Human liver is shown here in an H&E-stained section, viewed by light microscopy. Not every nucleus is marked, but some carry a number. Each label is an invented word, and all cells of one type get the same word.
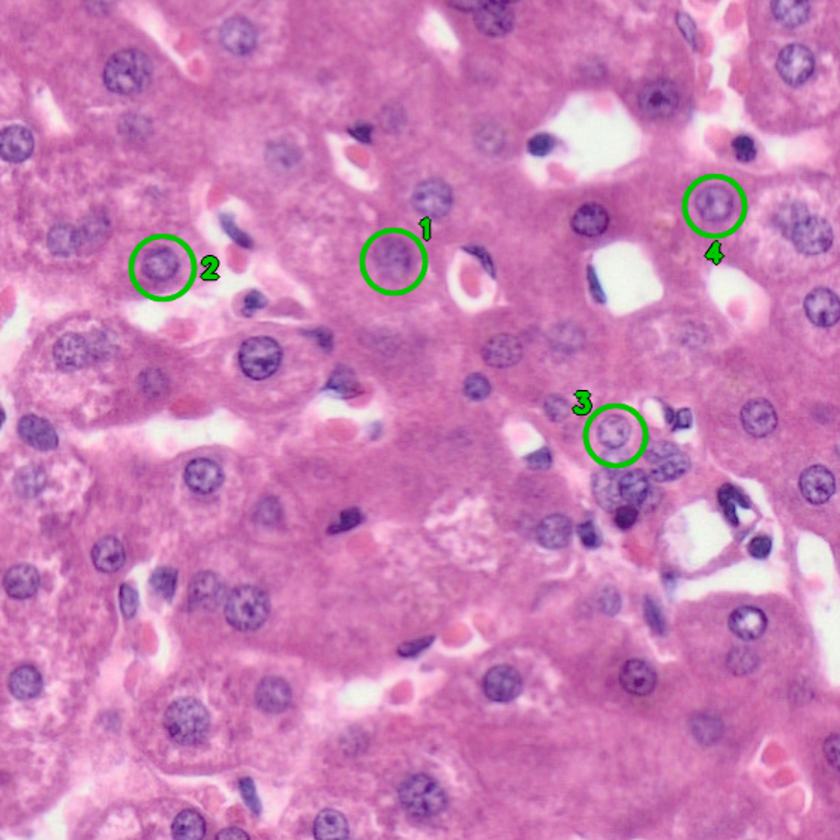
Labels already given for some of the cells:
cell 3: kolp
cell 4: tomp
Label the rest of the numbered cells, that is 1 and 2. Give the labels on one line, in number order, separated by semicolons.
tomp; tomp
